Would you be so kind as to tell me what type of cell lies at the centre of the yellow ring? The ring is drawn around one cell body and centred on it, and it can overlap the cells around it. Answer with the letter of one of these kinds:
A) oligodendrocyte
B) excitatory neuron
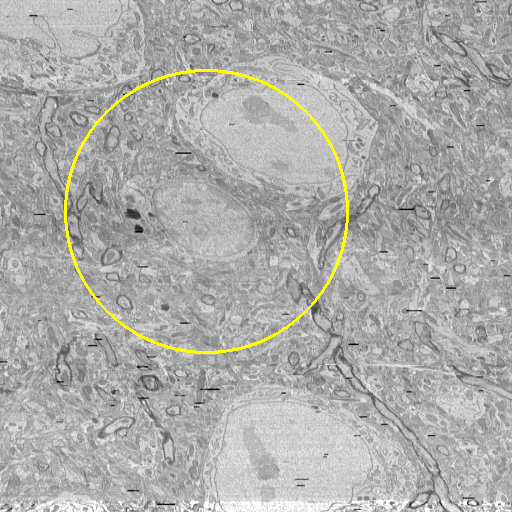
A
